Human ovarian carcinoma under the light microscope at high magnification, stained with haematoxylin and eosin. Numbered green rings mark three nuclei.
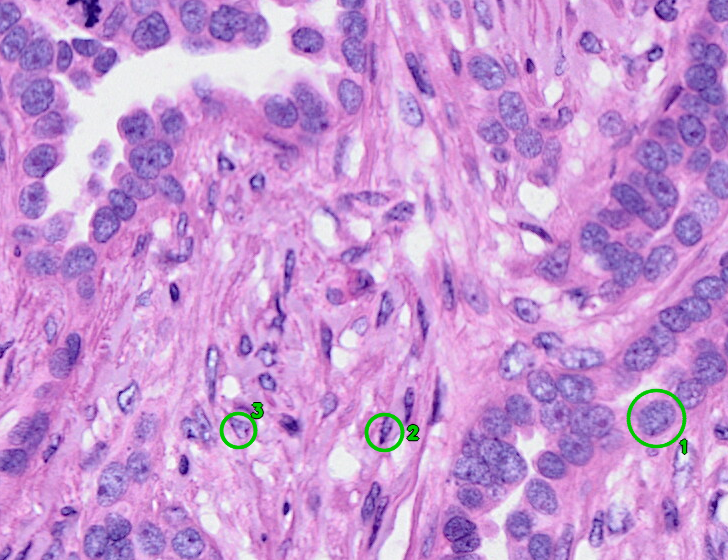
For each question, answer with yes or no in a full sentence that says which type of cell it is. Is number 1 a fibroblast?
No, number 1 is assigned to a carcinoma cell, not to a fibroblast.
